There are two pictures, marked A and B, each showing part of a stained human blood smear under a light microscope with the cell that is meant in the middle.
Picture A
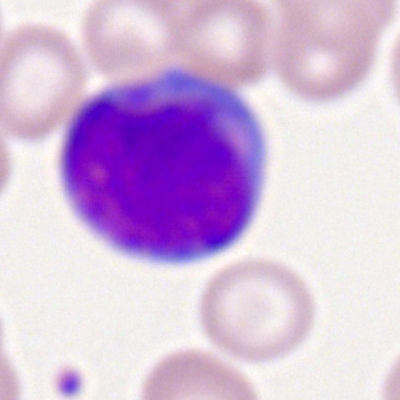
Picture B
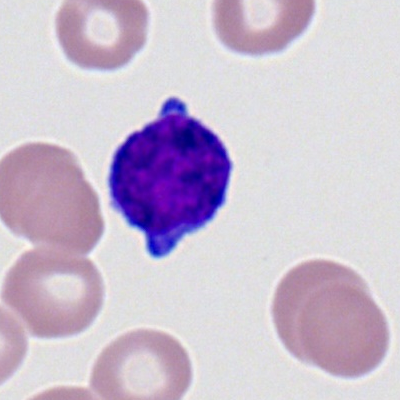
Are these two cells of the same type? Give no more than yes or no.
no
